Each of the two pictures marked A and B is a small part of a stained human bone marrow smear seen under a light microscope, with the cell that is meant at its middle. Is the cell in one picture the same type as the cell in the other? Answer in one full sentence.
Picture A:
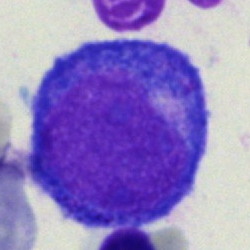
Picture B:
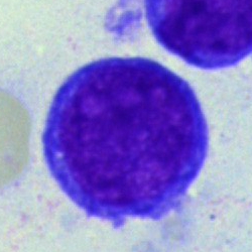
Yes, the two pictures both show proerythroblasts.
